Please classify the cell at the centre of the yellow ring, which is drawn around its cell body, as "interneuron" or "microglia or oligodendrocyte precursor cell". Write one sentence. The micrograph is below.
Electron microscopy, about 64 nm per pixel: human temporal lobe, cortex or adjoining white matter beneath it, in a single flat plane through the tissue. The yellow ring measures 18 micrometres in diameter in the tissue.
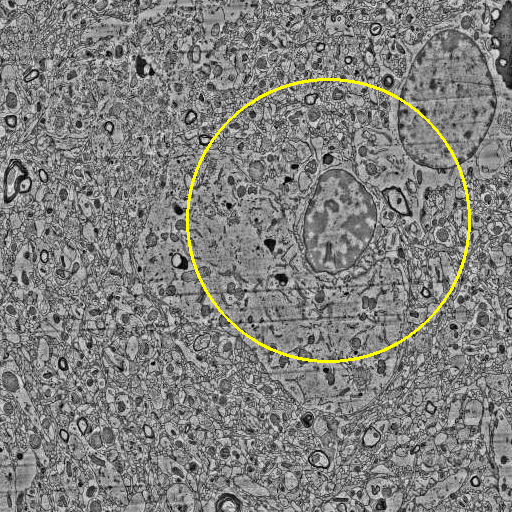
The cell at the ring's centre is classified as a microglial cell or oligodendrocyte precursor cell.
